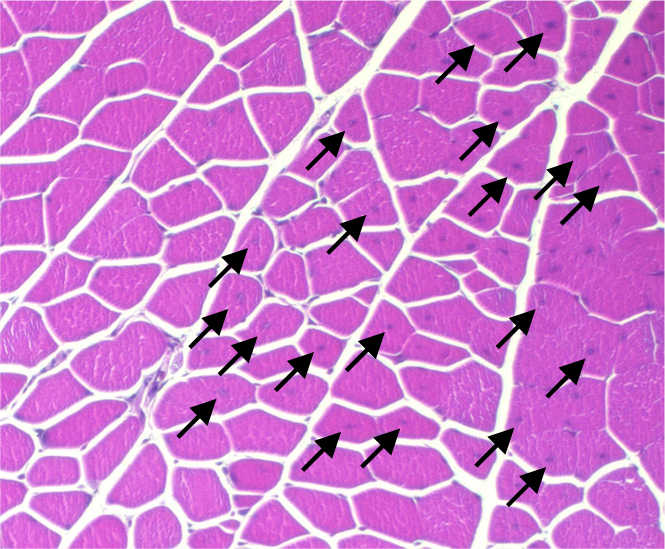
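This is a cross-section of skeletal muscle, with pink polygonal fibers packed into bundles separated by pale bands of connective tissue. Many fibers carry a dark purple nucleus in the middle of the fiber rather than pressed against its edge, as marked by the arrows. The fibers vary somewhat in size, and the right side of the field looks more densely packed.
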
